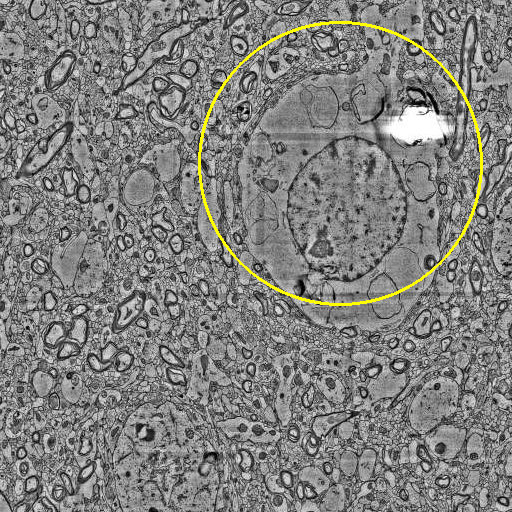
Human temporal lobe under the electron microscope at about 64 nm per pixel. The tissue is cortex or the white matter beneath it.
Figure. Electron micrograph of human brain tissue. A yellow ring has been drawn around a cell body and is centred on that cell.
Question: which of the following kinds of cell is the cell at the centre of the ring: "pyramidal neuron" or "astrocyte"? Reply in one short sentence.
The cell at the centre of the ring is an astrocyte.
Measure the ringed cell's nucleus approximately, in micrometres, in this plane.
The nucleus comes to roughly 9 by 8 micrometres in this plane.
